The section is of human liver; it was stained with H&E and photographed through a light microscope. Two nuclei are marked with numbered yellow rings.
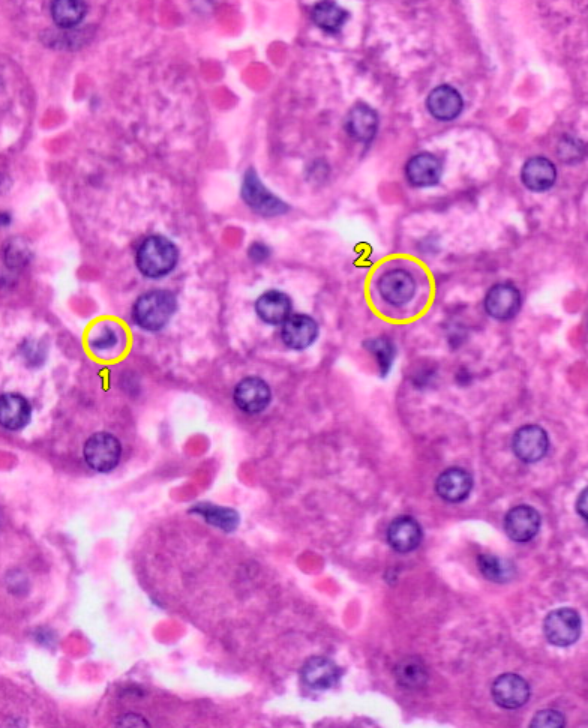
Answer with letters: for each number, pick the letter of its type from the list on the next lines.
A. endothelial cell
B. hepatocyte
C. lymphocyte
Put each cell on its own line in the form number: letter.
1: A
2: B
